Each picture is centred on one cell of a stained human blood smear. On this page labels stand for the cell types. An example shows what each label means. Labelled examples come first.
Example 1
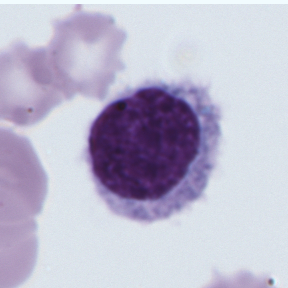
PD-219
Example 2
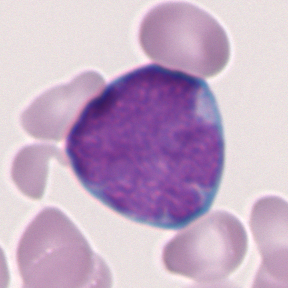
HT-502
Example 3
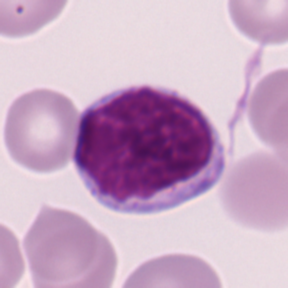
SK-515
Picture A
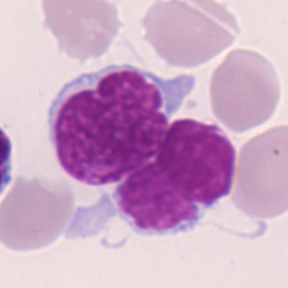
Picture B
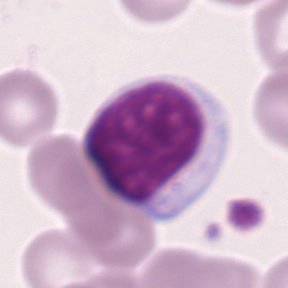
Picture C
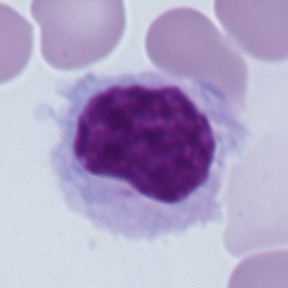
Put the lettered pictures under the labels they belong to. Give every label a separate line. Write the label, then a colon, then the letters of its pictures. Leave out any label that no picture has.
PD-219: C
HT-502: A
SK-515: B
